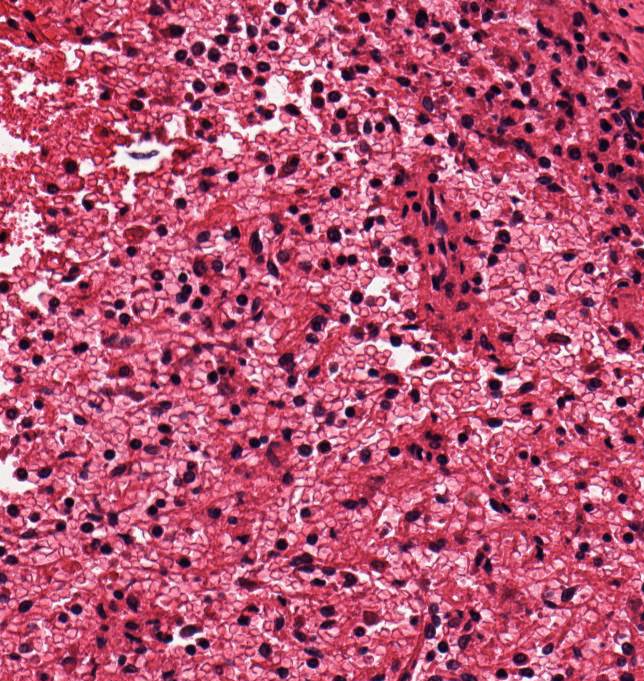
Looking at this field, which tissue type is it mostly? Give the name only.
red pulp of the spleen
